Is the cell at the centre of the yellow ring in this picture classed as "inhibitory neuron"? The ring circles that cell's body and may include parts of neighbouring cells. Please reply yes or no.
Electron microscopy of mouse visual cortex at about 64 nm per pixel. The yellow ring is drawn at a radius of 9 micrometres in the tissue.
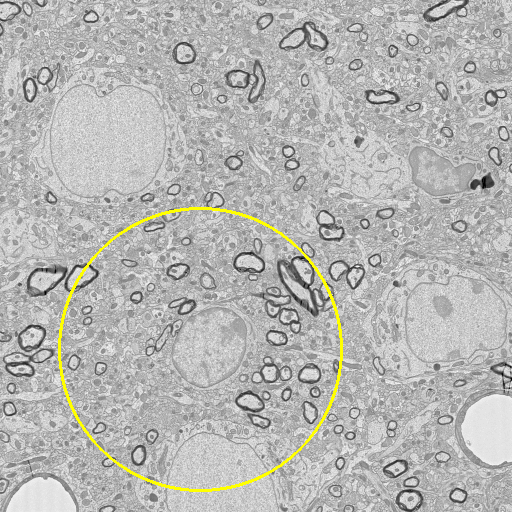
No, it is of another kind.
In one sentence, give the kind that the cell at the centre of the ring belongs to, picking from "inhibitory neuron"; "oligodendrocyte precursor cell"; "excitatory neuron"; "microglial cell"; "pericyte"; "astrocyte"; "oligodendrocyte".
Sitting at the ring centre is an oligodendrocyte.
